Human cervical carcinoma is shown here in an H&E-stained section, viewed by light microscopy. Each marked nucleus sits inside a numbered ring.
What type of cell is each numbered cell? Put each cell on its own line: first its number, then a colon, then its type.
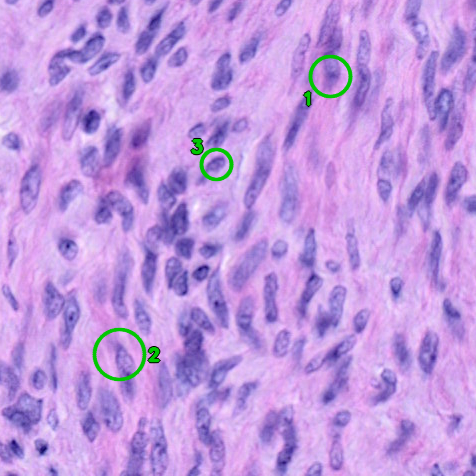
1: smooth muscle cell
2: smooth muscle cell
3: fibroblast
